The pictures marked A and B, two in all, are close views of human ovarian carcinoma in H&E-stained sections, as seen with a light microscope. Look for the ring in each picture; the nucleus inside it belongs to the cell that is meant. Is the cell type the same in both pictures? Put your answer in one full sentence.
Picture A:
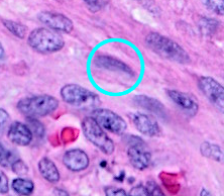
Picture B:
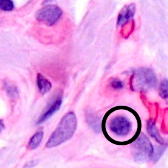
No, picture A shows a fibroblast and picture B shows a lymphocyte.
